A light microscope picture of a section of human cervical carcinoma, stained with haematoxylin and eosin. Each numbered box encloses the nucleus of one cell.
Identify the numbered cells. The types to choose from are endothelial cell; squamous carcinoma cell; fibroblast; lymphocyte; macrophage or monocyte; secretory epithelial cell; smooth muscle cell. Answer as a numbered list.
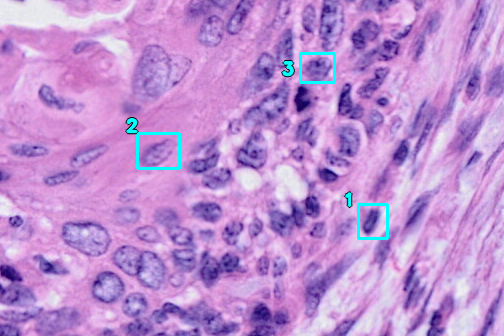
1. lymphocyte
2. squamous carcinoma cell
3. squamous carcinoma cell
